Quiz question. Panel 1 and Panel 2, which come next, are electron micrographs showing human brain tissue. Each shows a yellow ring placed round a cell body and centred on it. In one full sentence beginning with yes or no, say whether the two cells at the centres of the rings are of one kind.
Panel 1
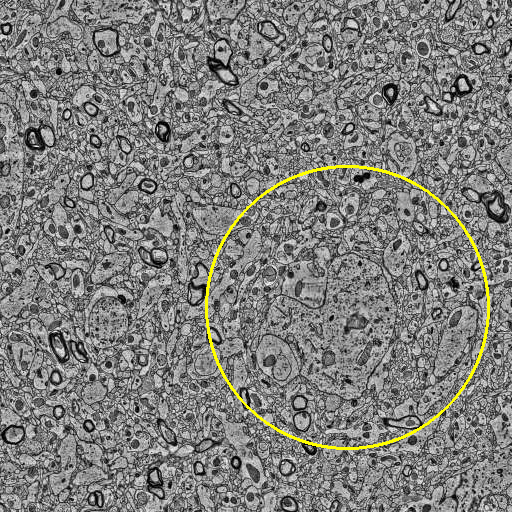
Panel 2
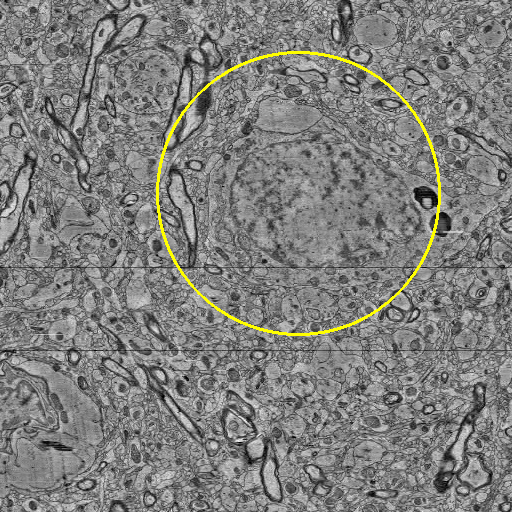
No, Panel 1 and Panel 2 show two kinds of cell at the centre of the ring.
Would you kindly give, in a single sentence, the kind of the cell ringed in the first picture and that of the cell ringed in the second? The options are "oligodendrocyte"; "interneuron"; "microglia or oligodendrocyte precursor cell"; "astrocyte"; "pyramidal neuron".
The second cell is an interneuron, and the first cell is a pyramidal neuron.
